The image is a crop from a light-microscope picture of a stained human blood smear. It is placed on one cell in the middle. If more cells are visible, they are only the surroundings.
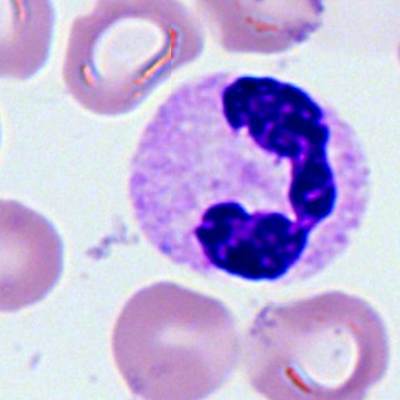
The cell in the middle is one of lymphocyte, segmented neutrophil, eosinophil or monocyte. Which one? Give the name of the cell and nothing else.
segmented neutrophil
